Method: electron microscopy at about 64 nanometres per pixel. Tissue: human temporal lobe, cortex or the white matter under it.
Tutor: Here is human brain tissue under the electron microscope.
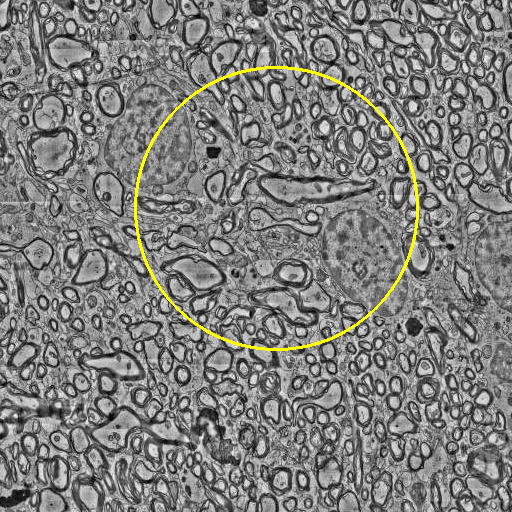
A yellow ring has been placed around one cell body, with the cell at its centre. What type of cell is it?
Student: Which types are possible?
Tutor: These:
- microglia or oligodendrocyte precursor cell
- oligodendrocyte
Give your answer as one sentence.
What the ring picks out here is an oligodendrocyte.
